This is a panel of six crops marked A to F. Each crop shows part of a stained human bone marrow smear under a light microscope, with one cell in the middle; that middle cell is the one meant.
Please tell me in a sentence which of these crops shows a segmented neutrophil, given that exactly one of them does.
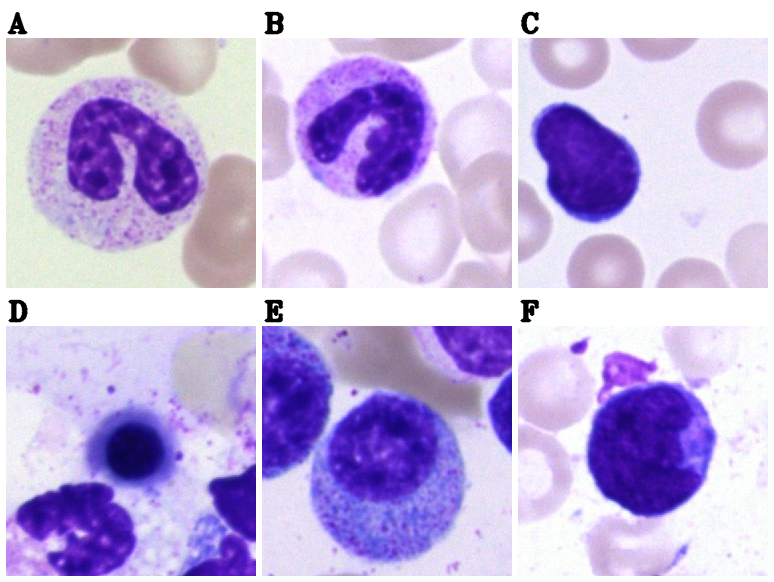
Crop B is the crop whose central cell is a segmented neutrophil.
